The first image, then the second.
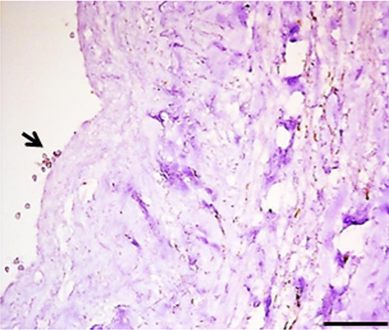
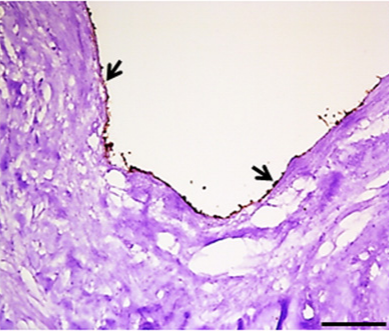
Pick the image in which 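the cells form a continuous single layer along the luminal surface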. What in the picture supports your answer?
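Second image: a continuous thin brown line of cells lines the surface. First image: only a few scattered cells cling to the tissue edge.
Answer: the second image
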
